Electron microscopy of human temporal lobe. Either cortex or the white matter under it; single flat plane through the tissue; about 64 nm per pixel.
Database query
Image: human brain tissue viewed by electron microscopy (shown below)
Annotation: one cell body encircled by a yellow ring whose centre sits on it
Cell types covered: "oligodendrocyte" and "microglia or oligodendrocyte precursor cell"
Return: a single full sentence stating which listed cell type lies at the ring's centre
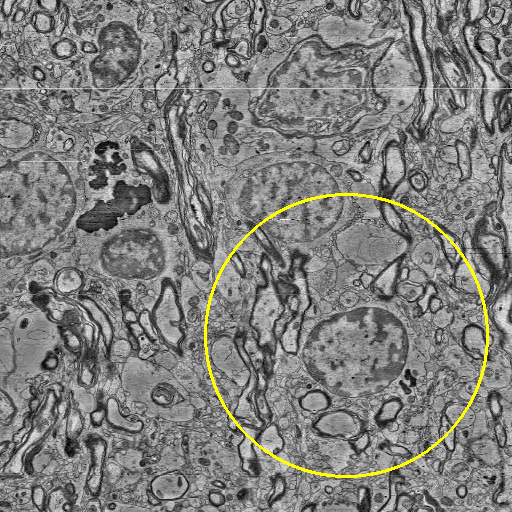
In the image, the cell lying at the ring's centre is a microglial cell or oligodendrocyte precursor cell.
